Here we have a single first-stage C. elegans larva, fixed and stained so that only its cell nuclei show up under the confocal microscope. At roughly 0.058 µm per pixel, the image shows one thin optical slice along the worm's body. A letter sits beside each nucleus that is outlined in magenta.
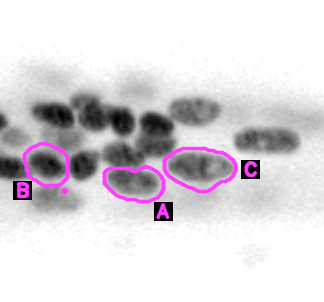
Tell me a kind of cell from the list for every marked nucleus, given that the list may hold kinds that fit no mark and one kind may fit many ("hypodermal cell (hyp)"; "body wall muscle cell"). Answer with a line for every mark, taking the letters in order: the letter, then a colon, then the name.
A: body wall muscle cell
B: hypodermal cell (hyp)
C: body wall muscle cell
